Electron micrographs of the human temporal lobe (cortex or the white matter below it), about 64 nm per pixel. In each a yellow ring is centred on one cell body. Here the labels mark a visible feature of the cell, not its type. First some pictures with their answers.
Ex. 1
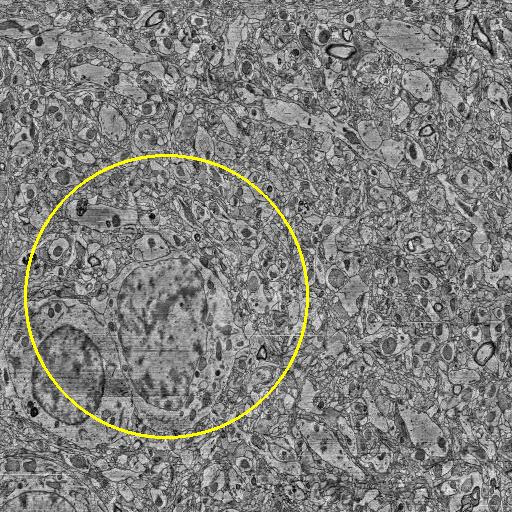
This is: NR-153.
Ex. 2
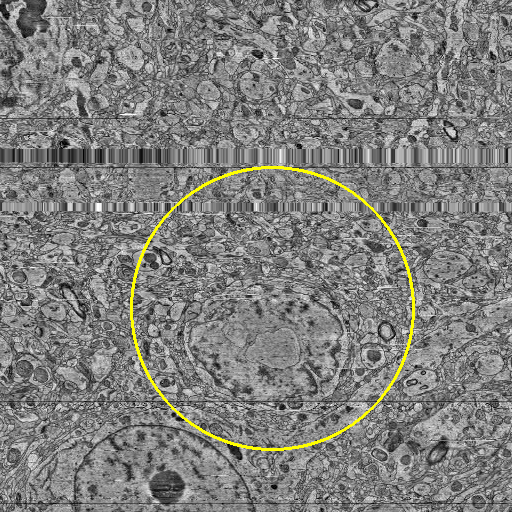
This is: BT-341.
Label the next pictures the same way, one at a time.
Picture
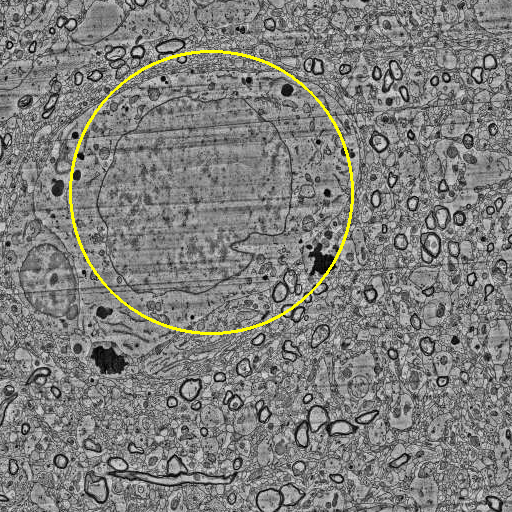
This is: BT-341.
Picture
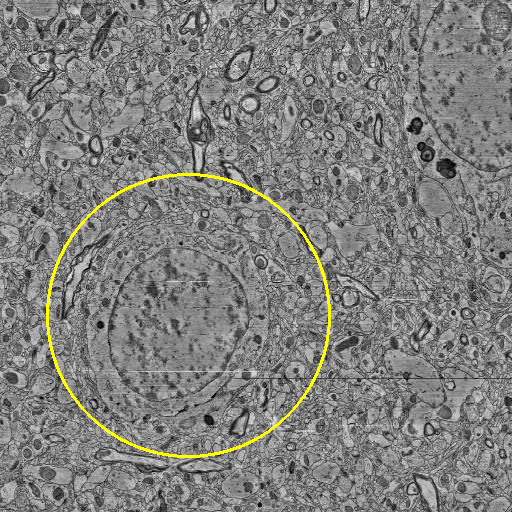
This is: NR-153.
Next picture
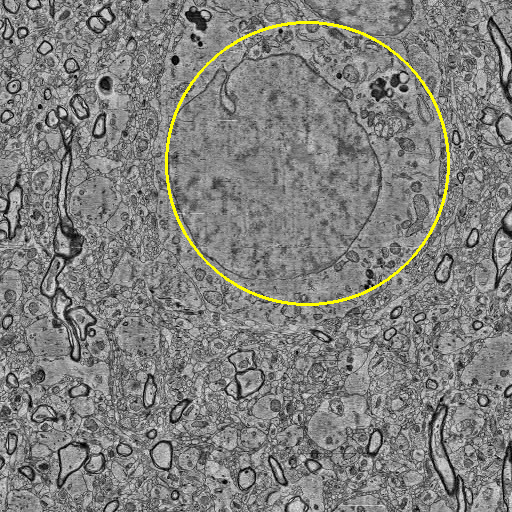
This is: BT-341.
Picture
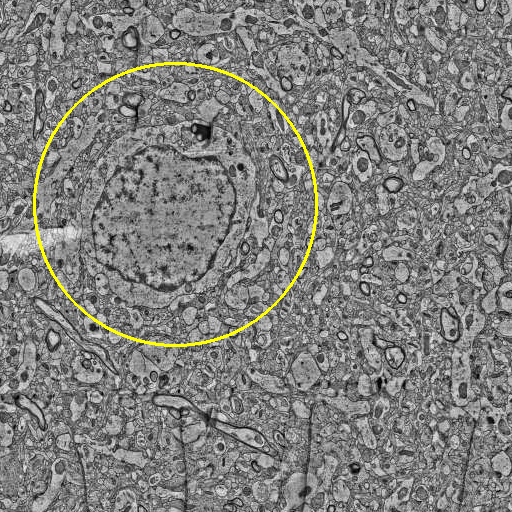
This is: NR-153.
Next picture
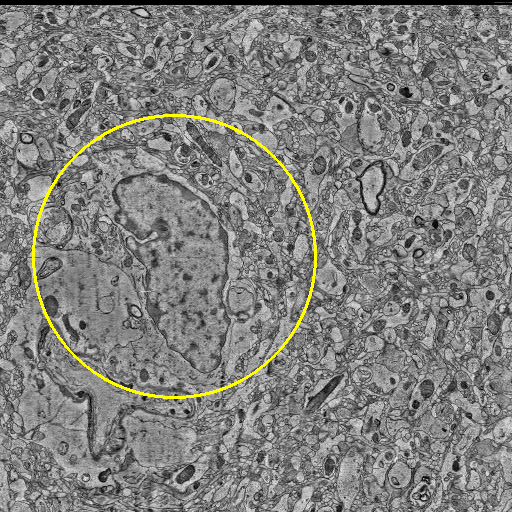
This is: BT-341.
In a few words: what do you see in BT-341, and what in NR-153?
Seen in BT-341: deeply folded or indented nuclear envelopes; seen in NR-153: smooth nuclear envelopes without deep folds.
